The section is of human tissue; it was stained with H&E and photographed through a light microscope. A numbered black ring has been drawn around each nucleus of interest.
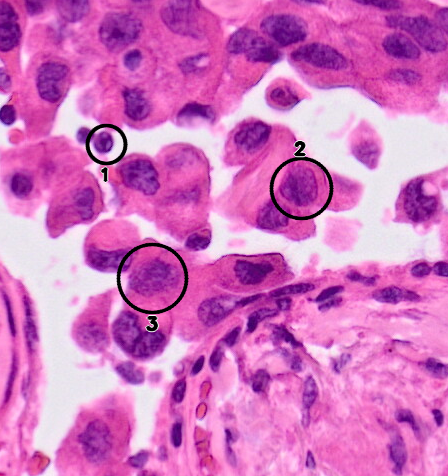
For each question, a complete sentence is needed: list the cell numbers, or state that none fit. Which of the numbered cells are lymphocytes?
Of the cells bearing numbers, the only one that is a lymphocyte is cell 1.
